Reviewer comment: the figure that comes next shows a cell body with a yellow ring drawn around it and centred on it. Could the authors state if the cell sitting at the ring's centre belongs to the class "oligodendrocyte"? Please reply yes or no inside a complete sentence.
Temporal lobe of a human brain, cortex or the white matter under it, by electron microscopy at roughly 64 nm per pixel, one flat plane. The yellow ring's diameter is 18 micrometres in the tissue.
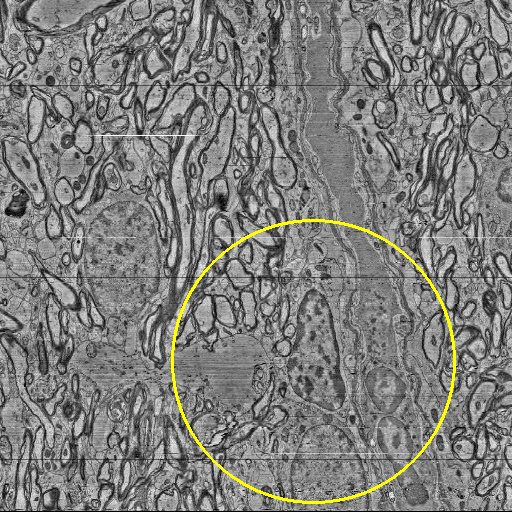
No, in the figure, the cell at the ring's centre belongs to a different class.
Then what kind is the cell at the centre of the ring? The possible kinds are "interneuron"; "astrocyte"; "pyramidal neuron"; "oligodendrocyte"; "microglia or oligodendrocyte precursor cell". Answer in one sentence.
The cell at the middle of the ring is a microglial cell or oligodendrocyte precursor cell.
